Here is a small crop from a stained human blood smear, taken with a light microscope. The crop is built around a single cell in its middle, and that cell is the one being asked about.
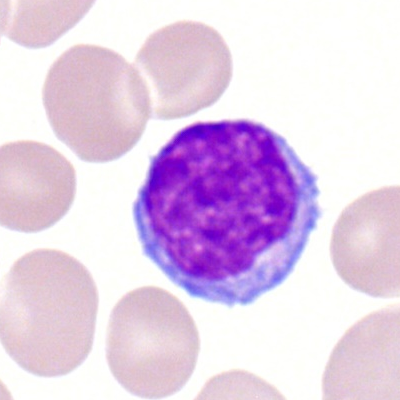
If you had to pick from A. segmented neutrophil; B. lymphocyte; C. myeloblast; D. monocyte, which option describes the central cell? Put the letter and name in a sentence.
The cell centred in the crop is a lymphocyte, and the correct option is thus B.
